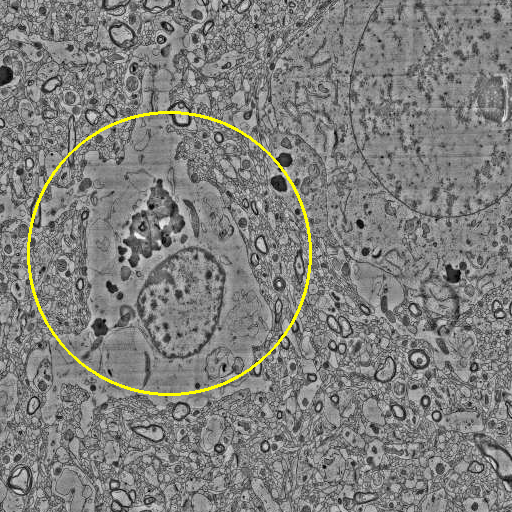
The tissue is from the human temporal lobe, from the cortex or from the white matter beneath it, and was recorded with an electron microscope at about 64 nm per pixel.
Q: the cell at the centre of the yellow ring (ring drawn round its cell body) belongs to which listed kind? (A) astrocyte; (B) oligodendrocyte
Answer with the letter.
A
